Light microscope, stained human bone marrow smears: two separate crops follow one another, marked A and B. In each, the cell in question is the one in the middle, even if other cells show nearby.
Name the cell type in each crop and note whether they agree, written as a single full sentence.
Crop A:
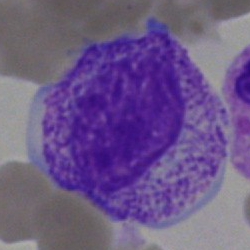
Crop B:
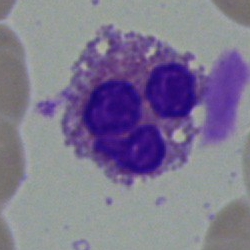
No, in this case crop A shows a myelocyte, and crop B shows an eosinophil.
